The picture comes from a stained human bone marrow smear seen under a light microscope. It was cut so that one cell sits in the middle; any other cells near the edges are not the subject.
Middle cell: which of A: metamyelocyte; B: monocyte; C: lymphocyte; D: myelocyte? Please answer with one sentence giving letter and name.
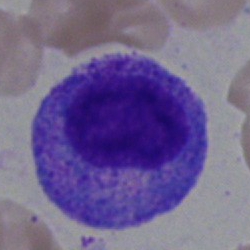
Option D stands as correct, the central cell being a myelocyte.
